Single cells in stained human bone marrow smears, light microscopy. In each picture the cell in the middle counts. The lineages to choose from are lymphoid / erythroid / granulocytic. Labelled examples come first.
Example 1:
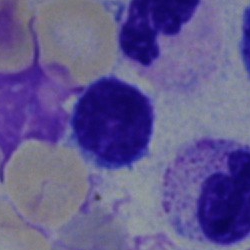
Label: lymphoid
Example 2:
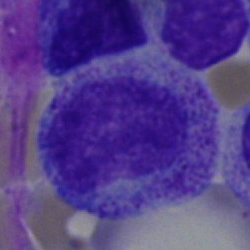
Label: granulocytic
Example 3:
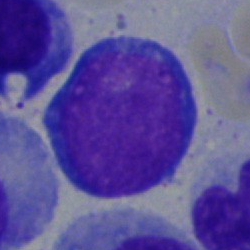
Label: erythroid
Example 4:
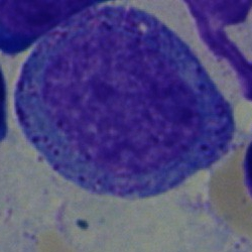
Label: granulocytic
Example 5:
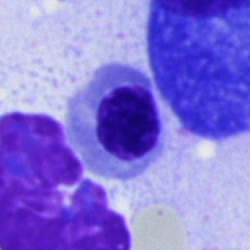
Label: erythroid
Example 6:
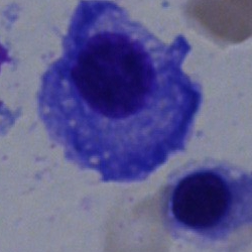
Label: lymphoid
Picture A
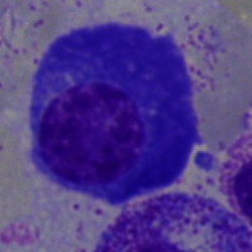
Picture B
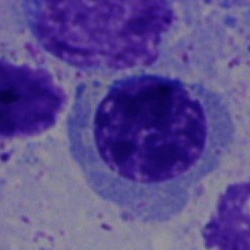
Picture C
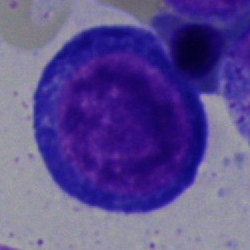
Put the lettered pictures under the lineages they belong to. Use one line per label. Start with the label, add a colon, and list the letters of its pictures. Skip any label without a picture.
lymphoid: A
erythroid: B, C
